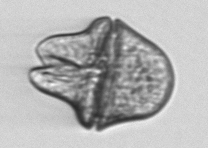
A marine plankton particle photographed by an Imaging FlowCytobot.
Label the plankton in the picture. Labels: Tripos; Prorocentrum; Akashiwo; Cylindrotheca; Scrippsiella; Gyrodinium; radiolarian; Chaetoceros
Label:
Akashiwo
